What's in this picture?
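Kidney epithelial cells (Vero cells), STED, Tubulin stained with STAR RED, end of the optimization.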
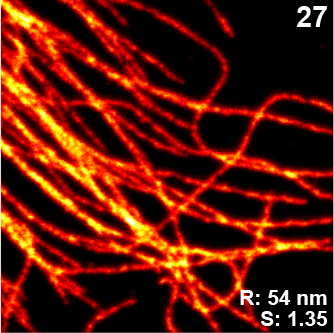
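Individual filaments are thin and sharply defined, and where several overlap the signal becomes brighter and yellow. The background between the filaments is dark, with little diffuse signal. No nuclei or cell outlines are visible in this field.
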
